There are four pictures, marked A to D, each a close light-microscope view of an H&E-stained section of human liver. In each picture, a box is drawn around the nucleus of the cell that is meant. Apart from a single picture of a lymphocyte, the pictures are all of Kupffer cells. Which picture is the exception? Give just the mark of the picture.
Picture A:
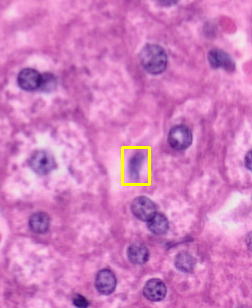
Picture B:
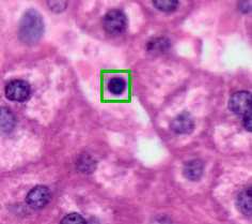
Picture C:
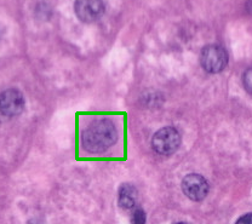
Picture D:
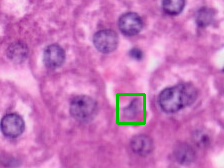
B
